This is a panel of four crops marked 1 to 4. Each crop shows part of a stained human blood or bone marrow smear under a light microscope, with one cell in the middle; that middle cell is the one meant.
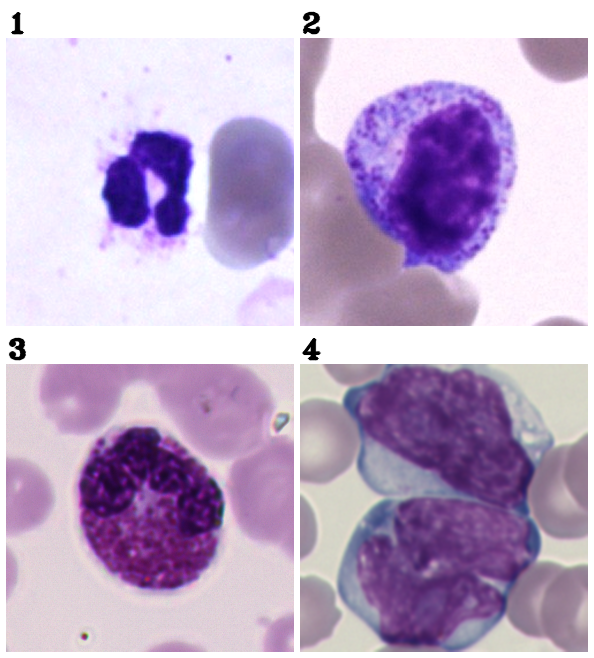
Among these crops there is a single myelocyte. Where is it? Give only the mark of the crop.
2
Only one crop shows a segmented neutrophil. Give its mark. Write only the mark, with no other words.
1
